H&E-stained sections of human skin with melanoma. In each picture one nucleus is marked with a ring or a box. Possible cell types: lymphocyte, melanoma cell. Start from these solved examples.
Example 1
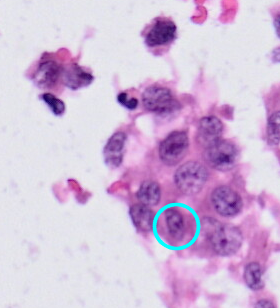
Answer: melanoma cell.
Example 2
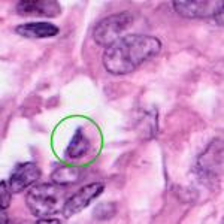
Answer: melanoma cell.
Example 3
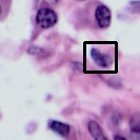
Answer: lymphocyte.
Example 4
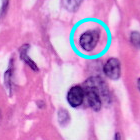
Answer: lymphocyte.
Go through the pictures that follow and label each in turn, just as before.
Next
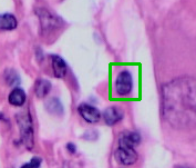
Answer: lymphocyte.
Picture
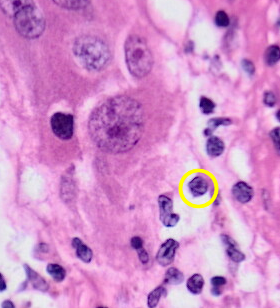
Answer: lymphocyte.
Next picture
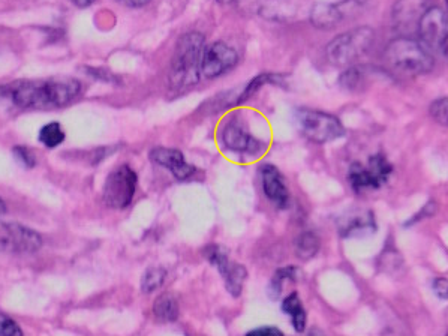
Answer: melanoma cell.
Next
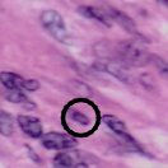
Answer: lymphocyte.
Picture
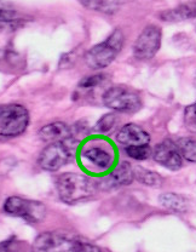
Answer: melanoma cell.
